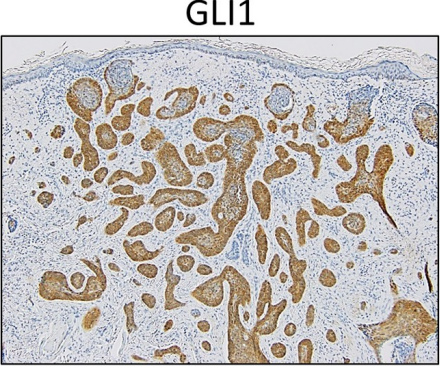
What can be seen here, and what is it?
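This section shows skin with a basal cell carcinoma in the dermis, and the brown stain is confined to the tumour. The stroma between the nests is pale, with blue counterstained nuclei. The overlying epidermis along the top stays blue and largely unstained.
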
